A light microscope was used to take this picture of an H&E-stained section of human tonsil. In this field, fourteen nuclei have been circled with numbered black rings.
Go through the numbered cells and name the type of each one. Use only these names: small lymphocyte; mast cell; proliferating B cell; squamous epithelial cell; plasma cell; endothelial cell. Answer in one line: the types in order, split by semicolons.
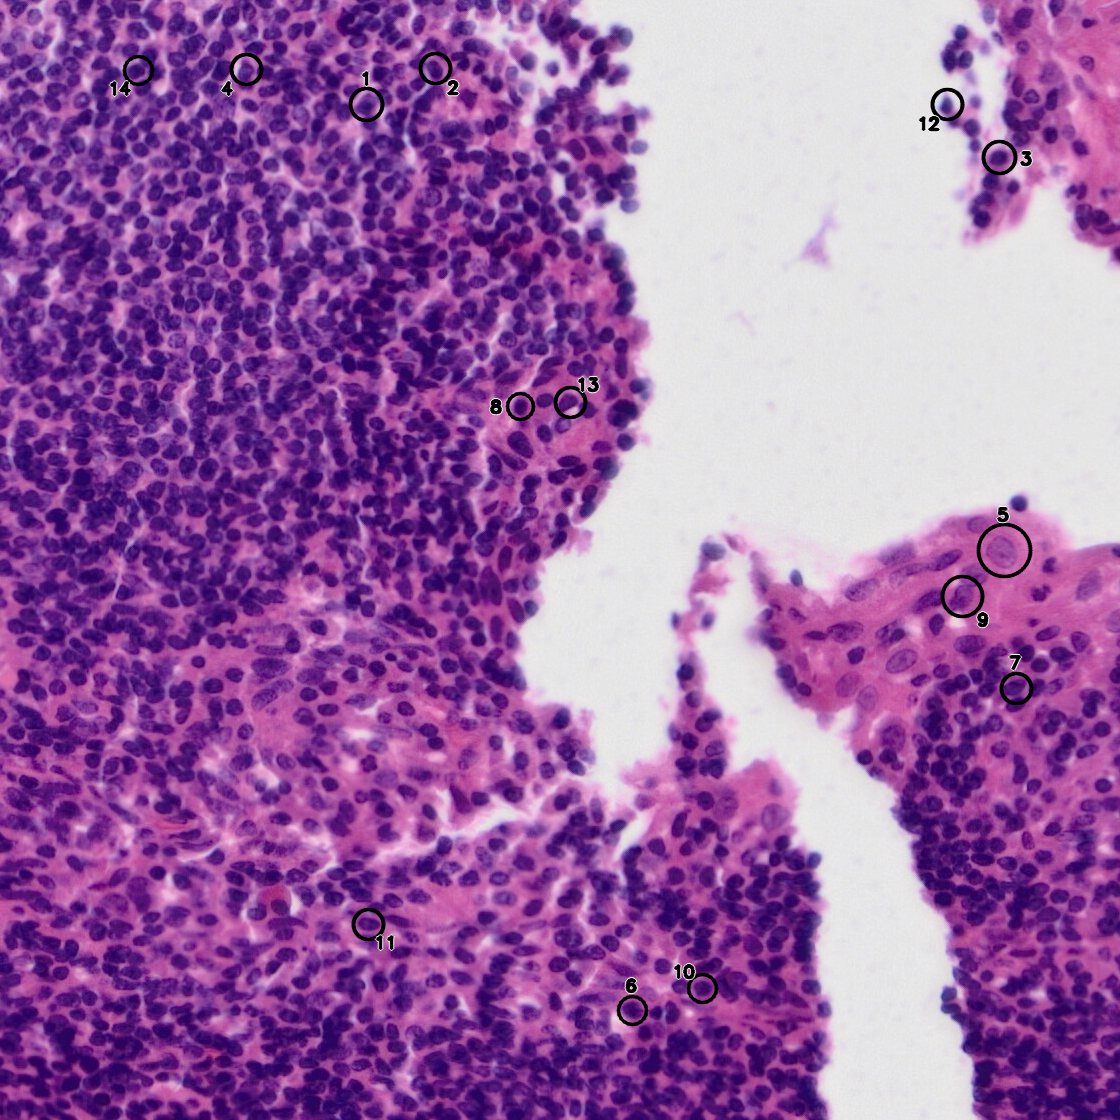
small lymphocyte; small lymphocyte; plasma cell; small lymphocyte; squamous epithelial cell; plasma cell; plasma cell; plasma cell; squamous epithelial cell; plasma cell; plasma cell; small lymphocyte; plasma cell; small lymphocyte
